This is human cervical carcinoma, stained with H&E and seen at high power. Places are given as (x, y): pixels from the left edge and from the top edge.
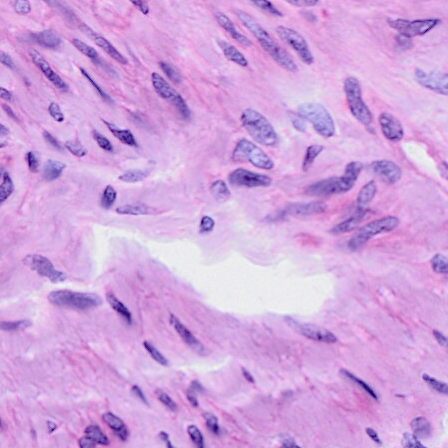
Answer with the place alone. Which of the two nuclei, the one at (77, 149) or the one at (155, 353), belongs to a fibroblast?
(155, 353)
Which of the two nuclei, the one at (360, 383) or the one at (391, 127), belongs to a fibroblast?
(360, 383)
